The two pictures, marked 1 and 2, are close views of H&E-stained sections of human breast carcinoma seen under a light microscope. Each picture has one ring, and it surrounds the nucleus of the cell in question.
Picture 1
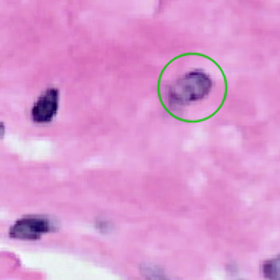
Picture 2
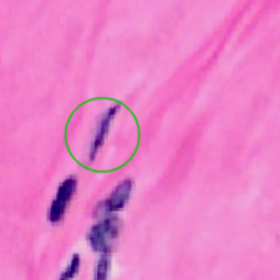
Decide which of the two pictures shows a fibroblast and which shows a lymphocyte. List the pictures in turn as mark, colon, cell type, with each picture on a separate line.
1: lymphocyte
2: fibroblast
